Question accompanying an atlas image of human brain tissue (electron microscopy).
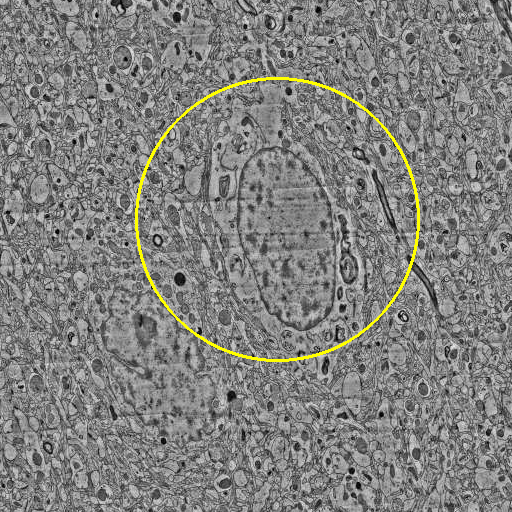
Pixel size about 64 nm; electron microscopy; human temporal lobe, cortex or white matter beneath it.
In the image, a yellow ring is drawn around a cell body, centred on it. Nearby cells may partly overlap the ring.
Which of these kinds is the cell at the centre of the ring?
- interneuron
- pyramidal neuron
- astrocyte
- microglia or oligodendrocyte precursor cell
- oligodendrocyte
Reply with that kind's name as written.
astrocyte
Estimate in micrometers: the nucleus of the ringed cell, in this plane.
The nucleus is approximately 12 micrometres long but only about 6 wide, clearly longer than it is wide in this plane.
